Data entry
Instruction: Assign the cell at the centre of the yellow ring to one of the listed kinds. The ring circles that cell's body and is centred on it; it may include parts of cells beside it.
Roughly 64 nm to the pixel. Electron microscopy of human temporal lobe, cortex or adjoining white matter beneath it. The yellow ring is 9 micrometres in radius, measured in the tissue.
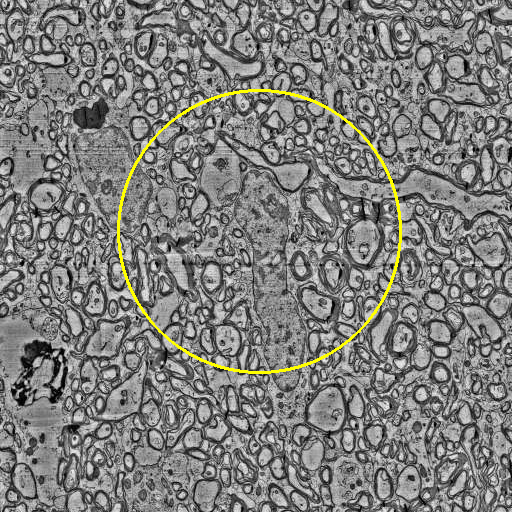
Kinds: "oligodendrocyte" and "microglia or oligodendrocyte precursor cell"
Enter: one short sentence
The centre of the ring falls on a microglial cell or oligodendrocyte precursor cell.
